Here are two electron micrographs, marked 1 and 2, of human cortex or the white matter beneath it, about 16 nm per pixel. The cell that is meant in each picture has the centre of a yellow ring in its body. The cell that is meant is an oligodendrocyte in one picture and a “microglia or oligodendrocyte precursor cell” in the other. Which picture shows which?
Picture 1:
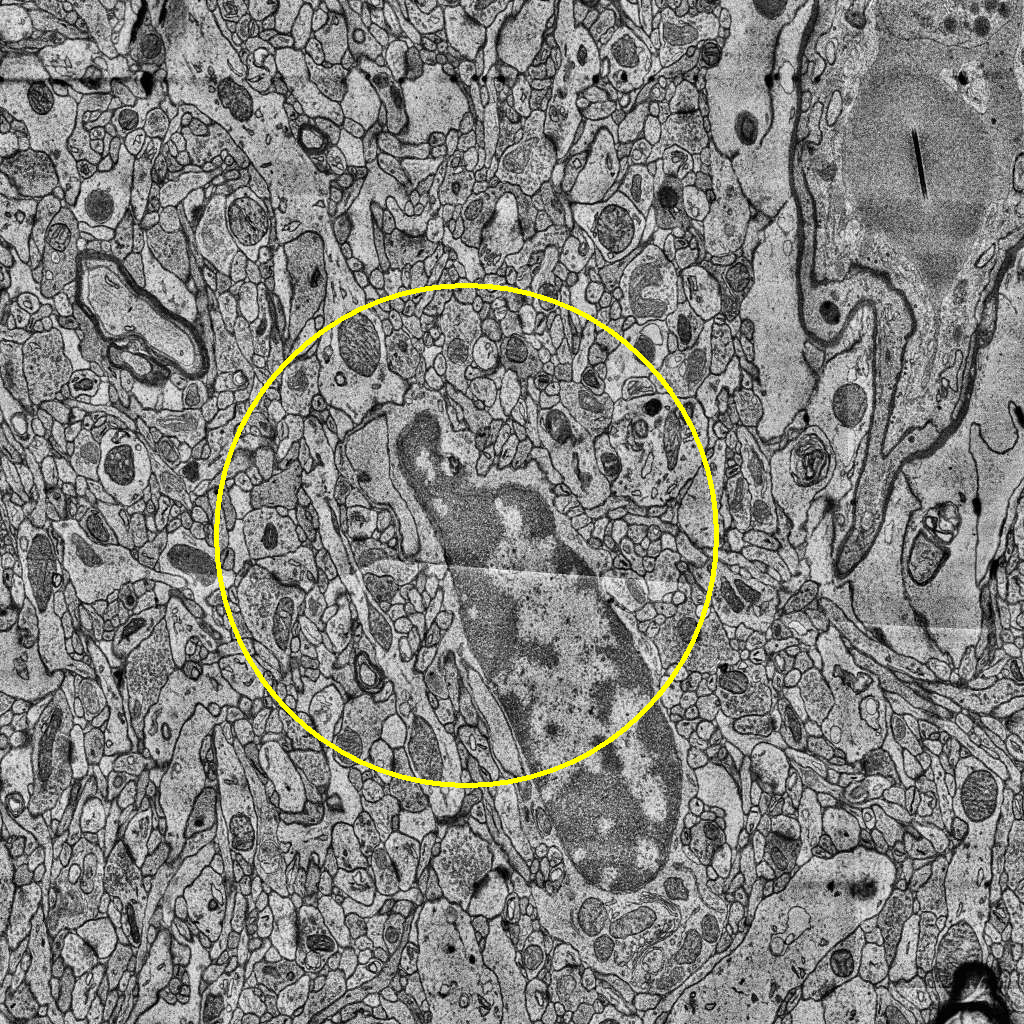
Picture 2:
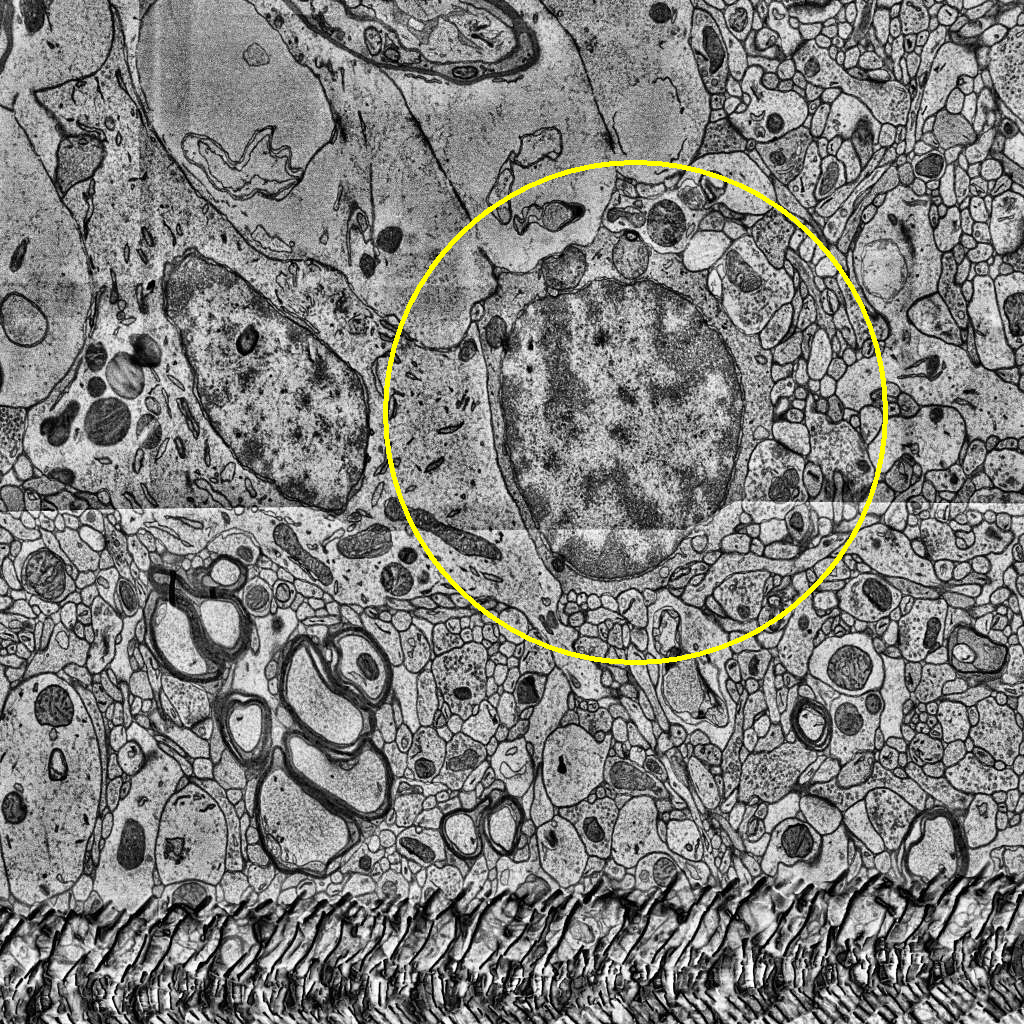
In picture 1 the cell is a “microglia or oligodendrocyte precursor cell”; in picture 2, an oligodendrocyte.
